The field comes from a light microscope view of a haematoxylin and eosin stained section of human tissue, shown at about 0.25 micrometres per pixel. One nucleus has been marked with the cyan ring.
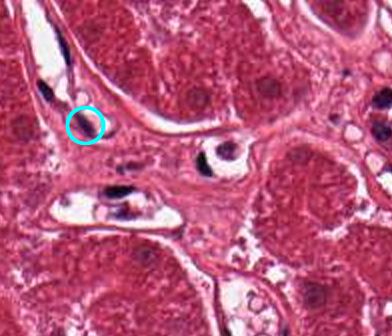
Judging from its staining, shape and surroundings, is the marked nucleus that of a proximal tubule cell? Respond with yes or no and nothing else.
no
